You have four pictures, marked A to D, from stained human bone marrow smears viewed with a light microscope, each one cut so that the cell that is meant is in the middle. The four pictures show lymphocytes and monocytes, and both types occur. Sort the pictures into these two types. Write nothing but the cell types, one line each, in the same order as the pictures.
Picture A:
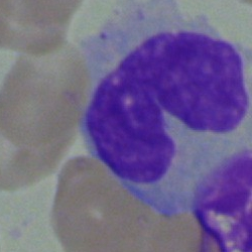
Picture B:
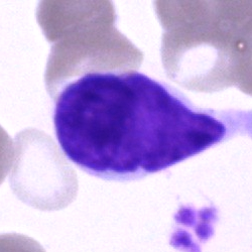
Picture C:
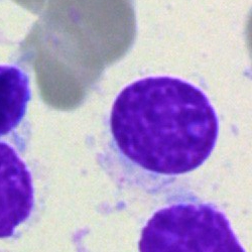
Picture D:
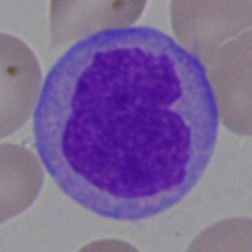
monocyte
lymphocyte
lymphocyte
monocyte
